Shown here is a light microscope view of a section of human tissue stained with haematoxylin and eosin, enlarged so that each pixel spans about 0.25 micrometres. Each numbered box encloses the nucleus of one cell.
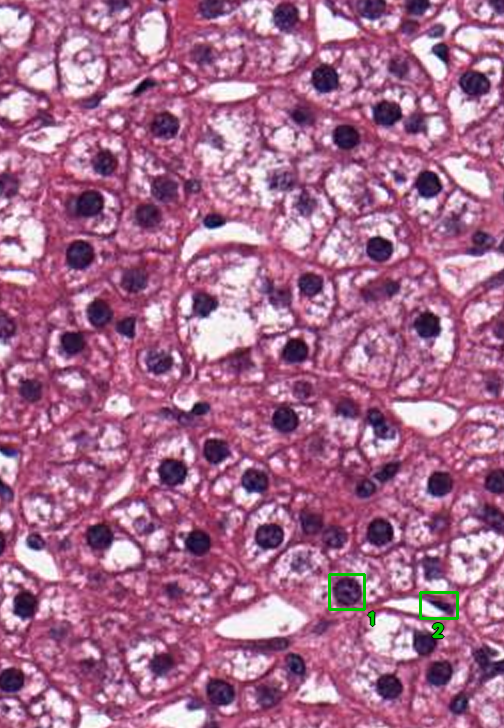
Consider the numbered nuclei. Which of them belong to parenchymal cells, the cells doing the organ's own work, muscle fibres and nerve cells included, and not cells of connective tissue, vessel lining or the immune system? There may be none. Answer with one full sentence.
None of the numbered nuclei except nucleus 1 belongs to a parenchymal cell.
